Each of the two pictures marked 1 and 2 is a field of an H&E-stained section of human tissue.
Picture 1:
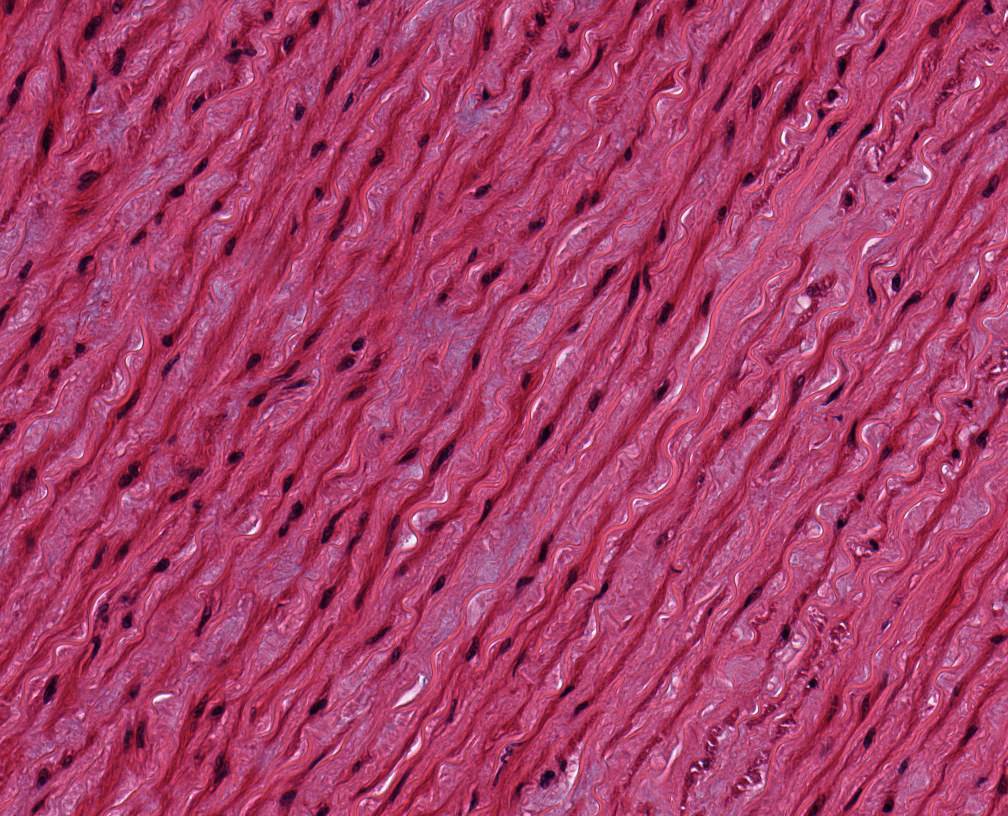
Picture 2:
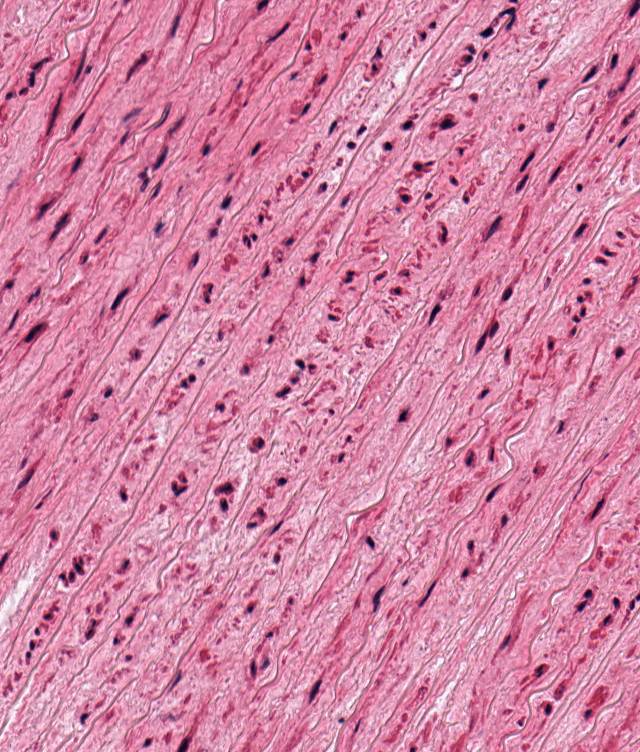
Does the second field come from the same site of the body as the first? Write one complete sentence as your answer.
Yes; both pictures come from the aorta.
